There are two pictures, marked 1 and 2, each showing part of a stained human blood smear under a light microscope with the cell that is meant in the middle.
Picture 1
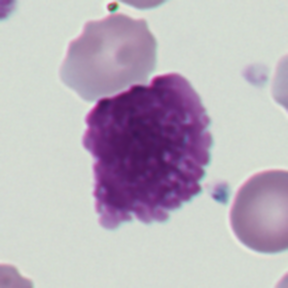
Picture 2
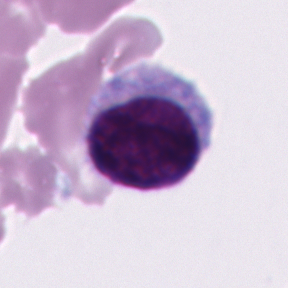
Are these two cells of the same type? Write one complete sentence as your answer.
No. Picture 1 shows a smudge cell, but picture 2 shows a hairy cell.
